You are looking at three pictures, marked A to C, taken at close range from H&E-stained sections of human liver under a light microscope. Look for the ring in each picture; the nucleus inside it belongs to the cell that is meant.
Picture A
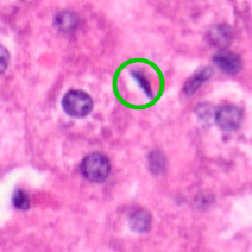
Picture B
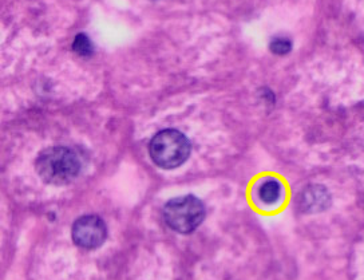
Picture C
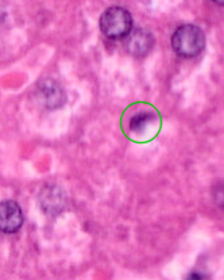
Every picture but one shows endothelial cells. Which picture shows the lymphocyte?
B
